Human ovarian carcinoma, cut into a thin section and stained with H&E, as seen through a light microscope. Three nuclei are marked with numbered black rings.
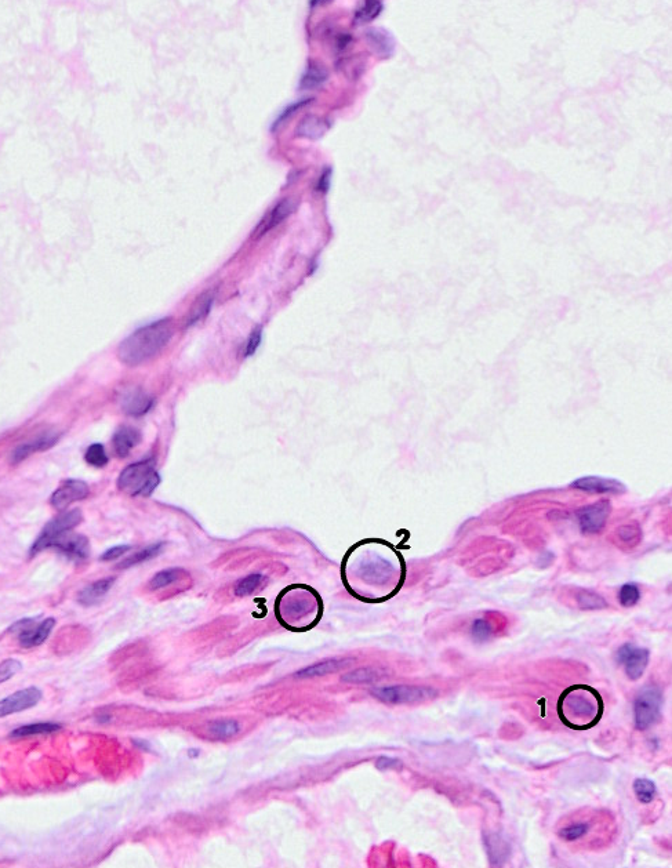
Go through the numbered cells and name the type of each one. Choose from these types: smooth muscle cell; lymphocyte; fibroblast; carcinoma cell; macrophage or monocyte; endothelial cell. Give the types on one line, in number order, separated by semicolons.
smooth muscle cell; endothelial cell; smooth muscle cell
